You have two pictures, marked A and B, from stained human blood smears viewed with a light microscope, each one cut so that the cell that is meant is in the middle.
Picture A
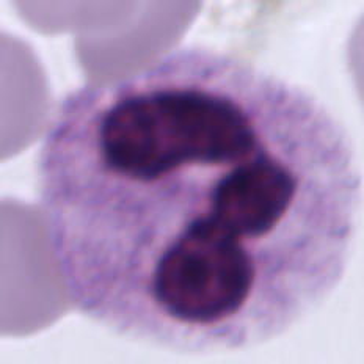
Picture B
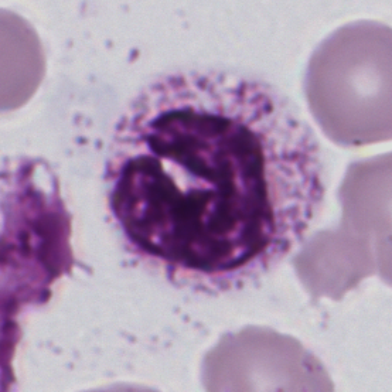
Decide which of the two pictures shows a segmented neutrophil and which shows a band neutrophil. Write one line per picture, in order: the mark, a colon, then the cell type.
A: segmented neutrophil
B: band neutrophil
